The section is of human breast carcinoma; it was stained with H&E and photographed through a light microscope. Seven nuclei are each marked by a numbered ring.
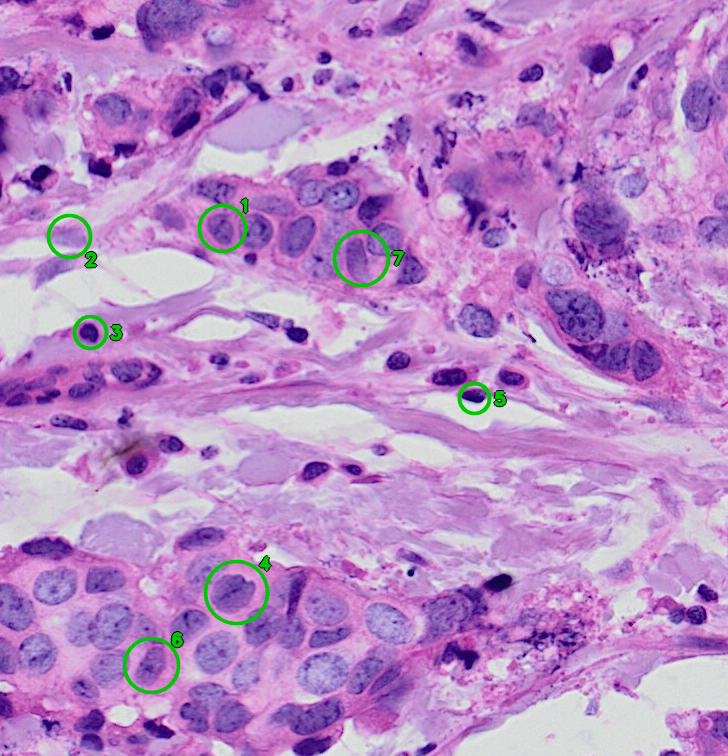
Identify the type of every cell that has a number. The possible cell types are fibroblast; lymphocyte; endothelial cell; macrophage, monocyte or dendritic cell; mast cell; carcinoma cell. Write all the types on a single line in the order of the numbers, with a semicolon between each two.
carcinoma cell; fibroblast; mast cell; carcinoma cell; lymphocyte; carcinoma cell; carcinoma cell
